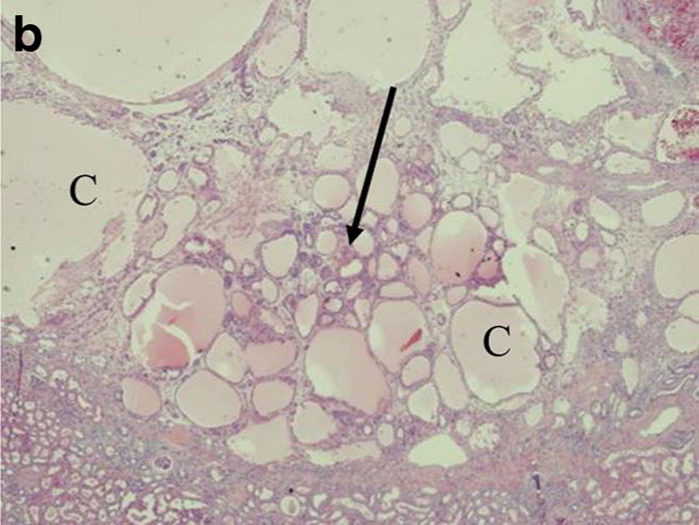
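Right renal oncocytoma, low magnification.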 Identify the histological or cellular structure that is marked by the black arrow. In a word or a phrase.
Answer: Tubules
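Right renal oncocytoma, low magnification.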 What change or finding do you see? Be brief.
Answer: Tubulocystic pattern.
